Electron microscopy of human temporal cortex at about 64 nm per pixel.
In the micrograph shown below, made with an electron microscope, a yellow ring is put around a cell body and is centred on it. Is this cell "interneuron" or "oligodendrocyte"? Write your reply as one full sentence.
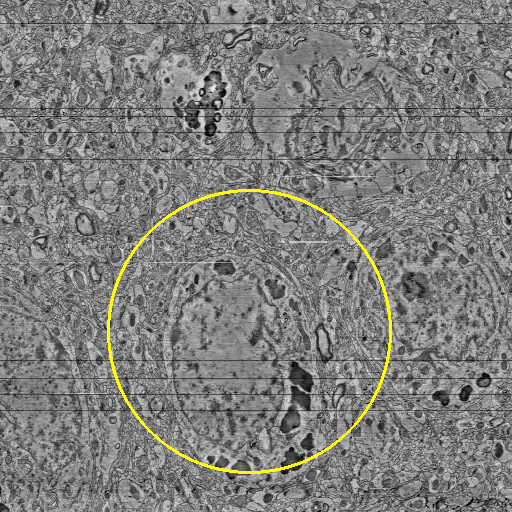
In the micrograph, an interneuron is the cell at the centre of the yellow ring.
